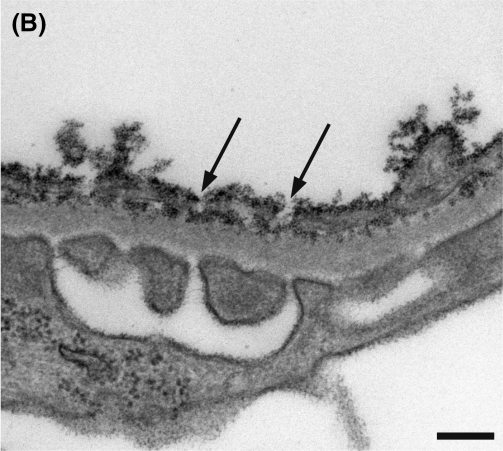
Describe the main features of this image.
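This is a glomerular capillary wall at very high magnification, the pale capillary lumen lying above. The thin fenestrated endothelium is covered by dark granules, which here gather partly in raised clumps projecting into the lumen. Under the endothelium lies a grey band of basement membrane, and below it rounded cell processes border pale spaces.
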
